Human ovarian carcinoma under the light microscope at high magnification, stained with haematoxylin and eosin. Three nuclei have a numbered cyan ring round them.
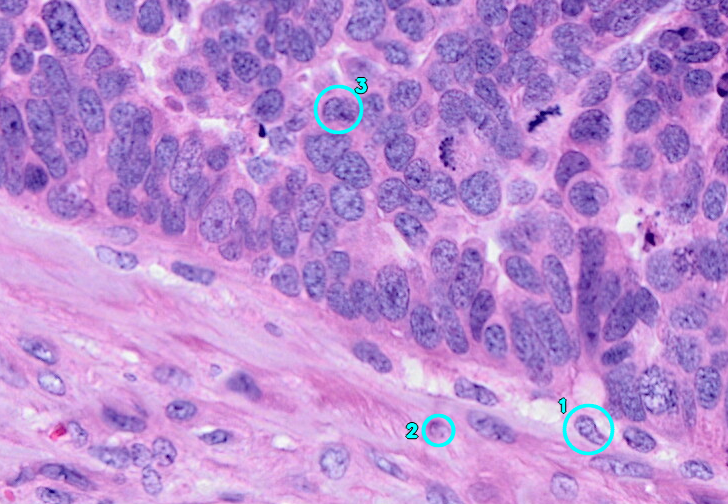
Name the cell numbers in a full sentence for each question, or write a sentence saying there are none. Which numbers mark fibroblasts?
Of all the numbered cells, only one is a fibroblast, and that is cell 2.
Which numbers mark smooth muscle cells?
Not one of the numbered cells belongs among the smooth muscle cells.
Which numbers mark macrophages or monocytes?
Only the cell marked 1 is a macrophage or monocyte.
